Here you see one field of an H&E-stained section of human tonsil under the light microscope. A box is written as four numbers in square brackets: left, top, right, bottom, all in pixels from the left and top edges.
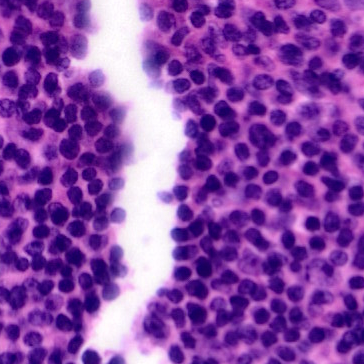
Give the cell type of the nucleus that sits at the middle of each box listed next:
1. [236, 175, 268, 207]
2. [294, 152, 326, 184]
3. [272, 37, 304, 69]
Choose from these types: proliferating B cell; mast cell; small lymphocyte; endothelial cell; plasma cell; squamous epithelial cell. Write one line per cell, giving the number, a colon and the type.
1: small lymphocyte
2: small lymphocyte
3: proliferating B cell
